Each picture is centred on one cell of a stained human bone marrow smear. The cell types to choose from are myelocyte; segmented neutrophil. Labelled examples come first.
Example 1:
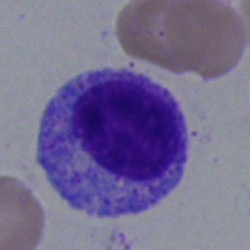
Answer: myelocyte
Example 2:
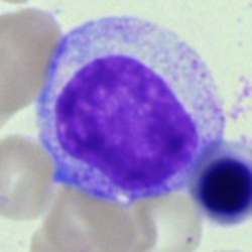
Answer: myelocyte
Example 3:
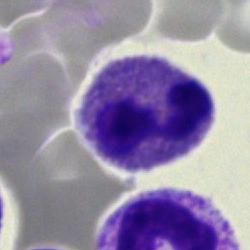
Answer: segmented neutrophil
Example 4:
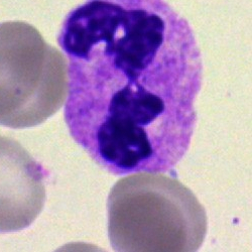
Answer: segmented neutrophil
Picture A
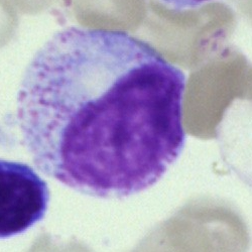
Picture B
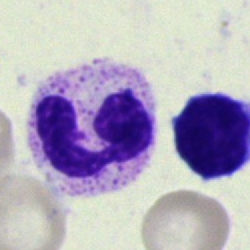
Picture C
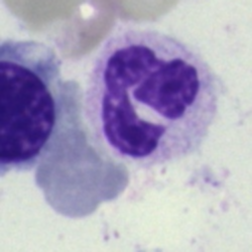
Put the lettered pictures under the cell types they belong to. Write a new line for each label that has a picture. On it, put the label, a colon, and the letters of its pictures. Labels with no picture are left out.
myelocyte: A
segmented neutrophil: B, C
